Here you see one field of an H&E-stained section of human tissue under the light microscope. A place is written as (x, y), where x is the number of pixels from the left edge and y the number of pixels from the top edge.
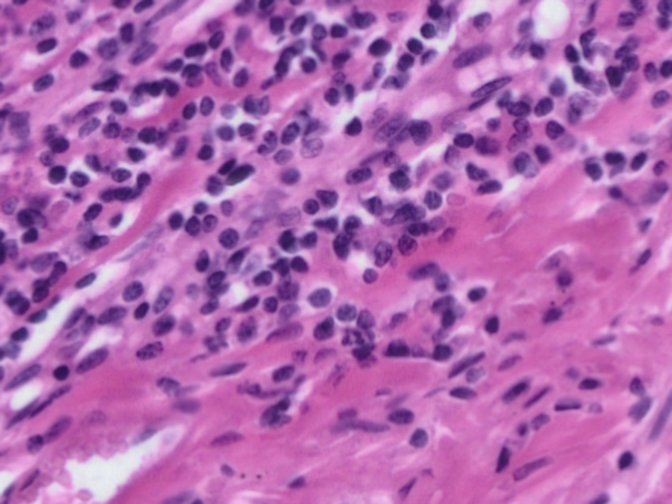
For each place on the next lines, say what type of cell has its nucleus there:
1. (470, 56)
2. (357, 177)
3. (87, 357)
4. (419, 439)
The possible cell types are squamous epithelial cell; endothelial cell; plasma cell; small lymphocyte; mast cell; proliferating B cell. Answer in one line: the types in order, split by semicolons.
endothelial cell; endothelial cell; endothelial cell; mast cell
